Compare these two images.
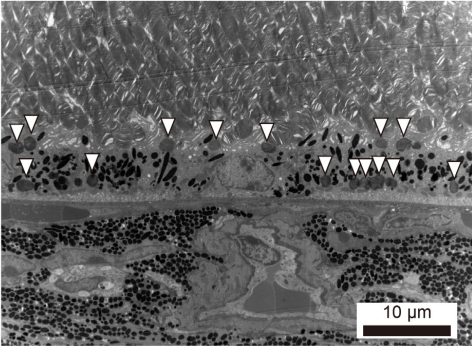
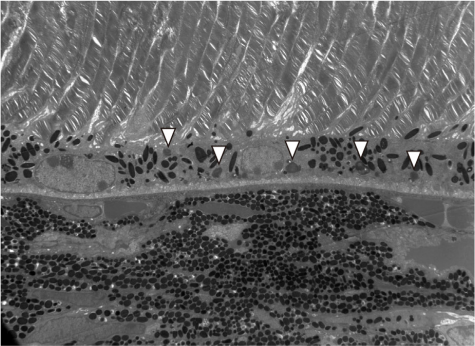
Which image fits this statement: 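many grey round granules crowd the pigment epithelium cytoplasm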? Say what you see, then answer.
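First image: numerous grey round granules, many clustered, are scattered along the epithelial layer. Second image: only a few grey round granules lie among the black pigment granules.
The first image.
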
